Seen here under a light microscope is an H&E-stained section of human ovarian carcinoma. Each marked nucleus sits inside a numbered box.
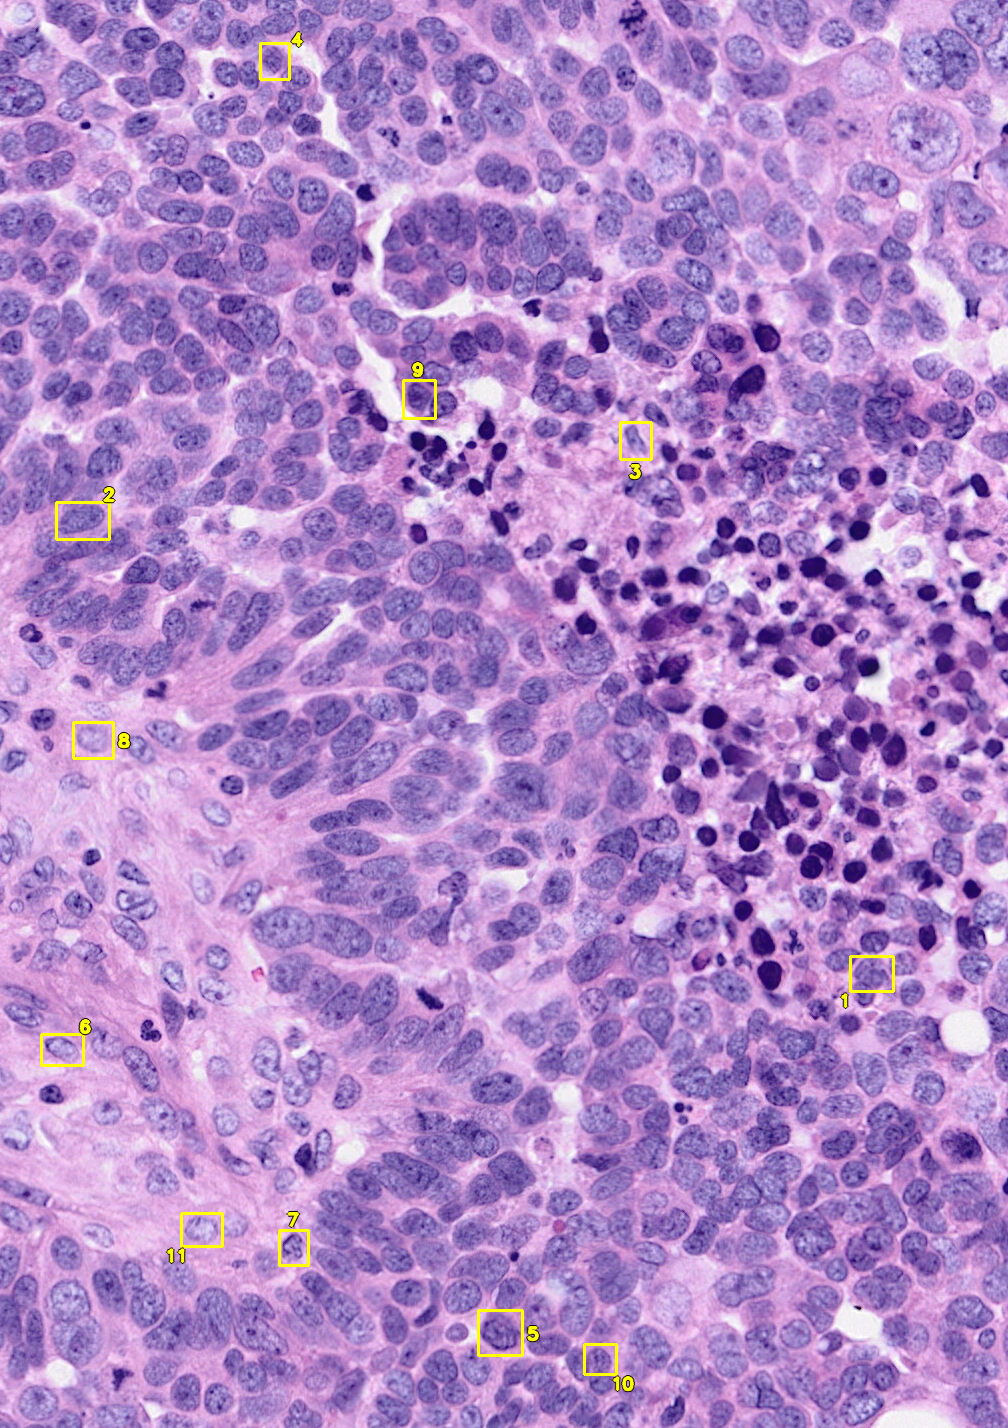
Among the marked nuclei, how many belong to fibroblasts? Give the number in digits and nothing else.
3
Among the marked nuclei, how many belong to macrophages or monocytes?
2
